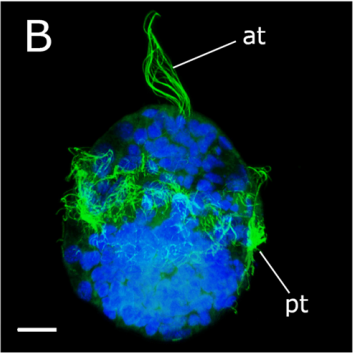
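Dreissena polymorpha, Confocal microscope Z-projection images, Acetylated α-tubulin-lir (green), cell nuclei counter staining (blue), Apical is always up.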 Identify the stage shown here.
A: early trochophore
